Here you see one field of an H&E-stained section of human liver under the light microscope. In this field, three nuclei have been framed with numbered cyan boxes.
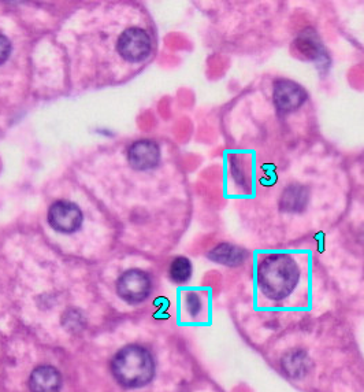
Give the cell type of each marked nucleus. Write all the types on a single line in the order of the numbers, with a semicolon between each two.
hepatocyte; lymphocyte; endothelial cell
